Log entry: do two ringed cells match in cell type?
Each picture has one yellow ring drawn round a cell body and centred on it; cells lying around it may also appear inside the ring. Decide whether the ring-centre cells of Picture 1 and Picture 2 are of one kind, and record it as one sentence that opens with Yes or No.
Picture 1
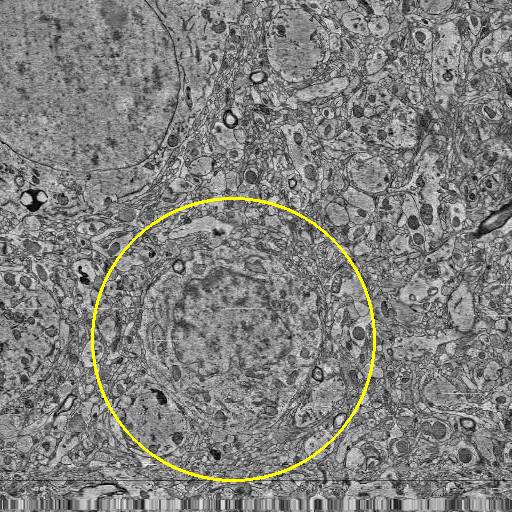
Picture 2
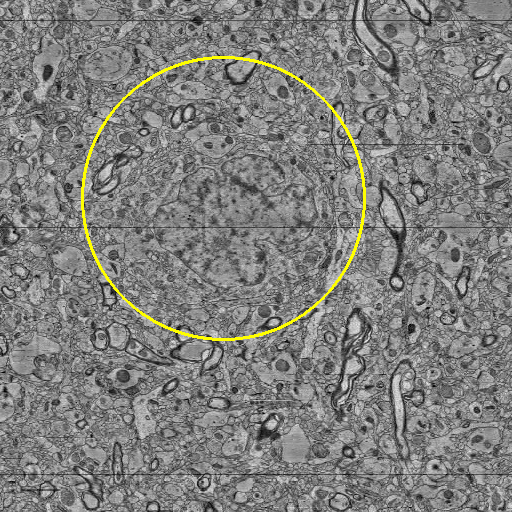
Yes, the cells at the ring centres of the two pictures belong to one kind.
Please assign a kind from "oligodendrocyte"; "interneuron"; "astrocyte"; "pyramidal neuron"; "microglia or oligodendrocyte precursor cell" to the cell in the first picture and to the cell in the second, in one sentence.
Both the first and the second picture show an interneuron in the ring.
